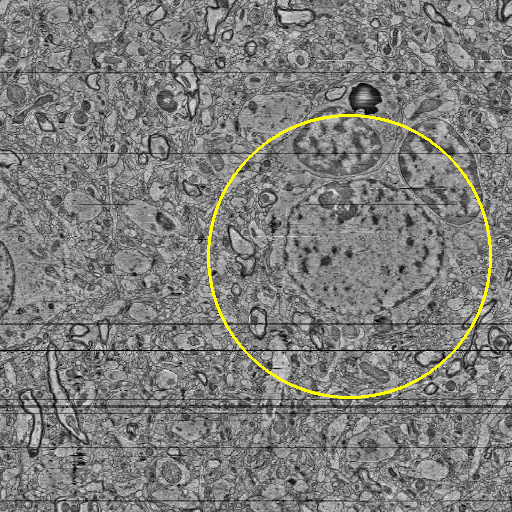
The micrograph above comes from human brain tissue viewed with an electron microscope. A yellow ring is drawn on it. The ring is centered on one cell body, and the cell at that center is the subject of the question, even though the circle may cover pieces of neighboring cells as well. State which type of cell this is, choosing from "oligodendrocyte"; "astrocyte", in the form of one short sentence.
The cell the ring is centered on is an astrocyte.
